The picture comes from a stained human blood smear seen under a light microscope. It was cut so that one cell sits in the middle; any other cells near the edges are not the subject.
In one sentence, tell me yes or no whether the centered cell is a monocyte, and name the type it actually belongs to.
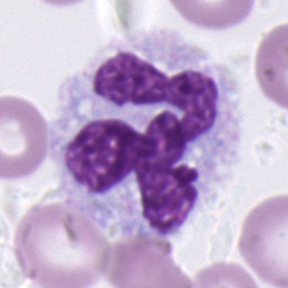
Yes, the cell positioned at the centre of the crop is a monocyte.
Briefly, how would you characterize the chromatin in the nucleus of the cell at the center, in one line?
This nucleus has coarsely clumped chromatin.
